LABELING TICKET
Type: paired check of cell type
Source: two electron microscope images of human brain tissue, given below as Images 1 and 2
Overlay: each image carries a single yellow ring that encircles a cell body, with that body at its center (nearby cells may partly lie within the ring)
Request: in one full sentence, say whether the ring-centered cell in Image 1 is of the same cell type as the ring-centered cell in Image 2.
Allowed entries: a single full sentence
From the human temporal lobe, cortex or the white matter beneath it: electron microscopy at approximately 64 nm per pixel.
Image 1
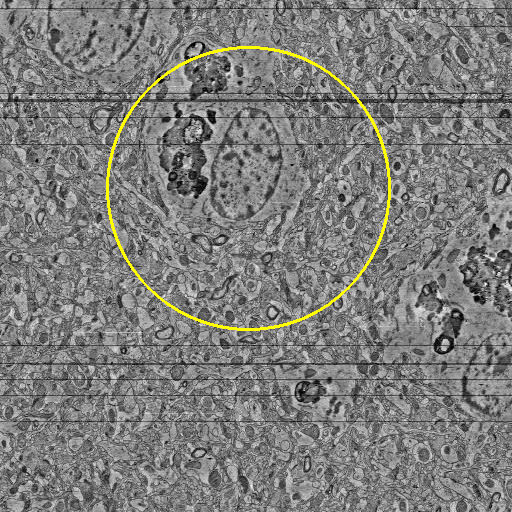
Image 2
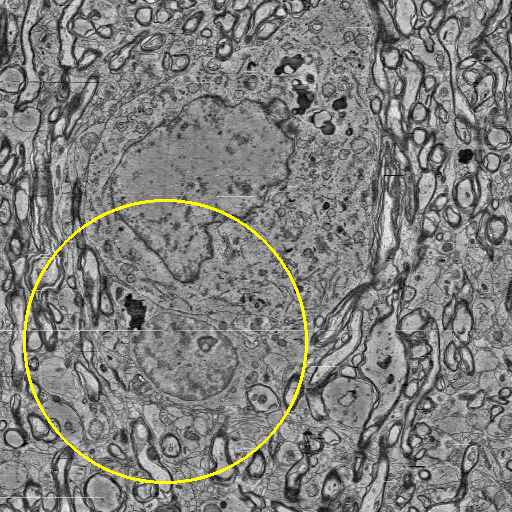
No, the cells centered in the rings of Image 1 and Image 2 are of two types.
